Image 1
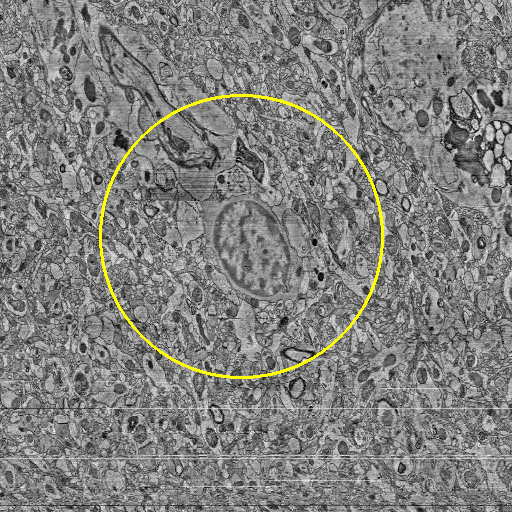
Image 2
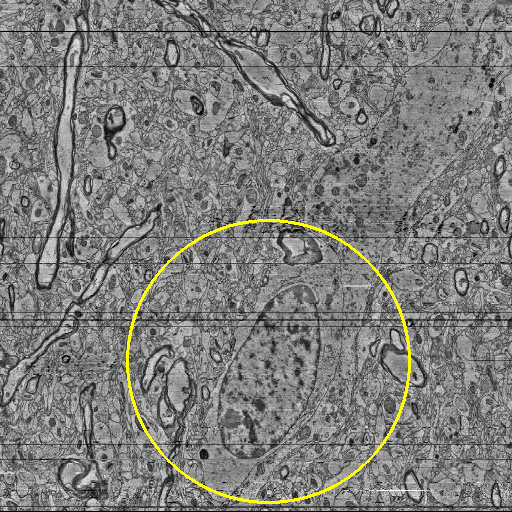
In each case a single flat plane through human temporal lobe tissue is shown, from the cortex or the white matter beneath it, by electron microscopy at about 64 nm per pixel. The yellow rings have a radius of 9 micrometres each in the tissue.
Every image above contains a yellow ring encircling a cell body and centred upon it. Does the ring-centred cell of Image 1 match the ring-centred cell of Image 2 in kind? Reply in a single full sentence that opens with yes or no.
No, the cell at the ring's centre in Image 1 is a separate kind from that in Image 2.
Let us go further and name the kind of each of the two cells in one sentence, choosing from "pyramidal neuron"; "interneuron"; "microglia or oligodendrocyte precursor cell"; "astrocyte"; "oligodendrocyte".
The ring of the first picture is on an oligodendrocyte, the ring of the second on a microglial cell or oligodendrocyte precursor cell.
